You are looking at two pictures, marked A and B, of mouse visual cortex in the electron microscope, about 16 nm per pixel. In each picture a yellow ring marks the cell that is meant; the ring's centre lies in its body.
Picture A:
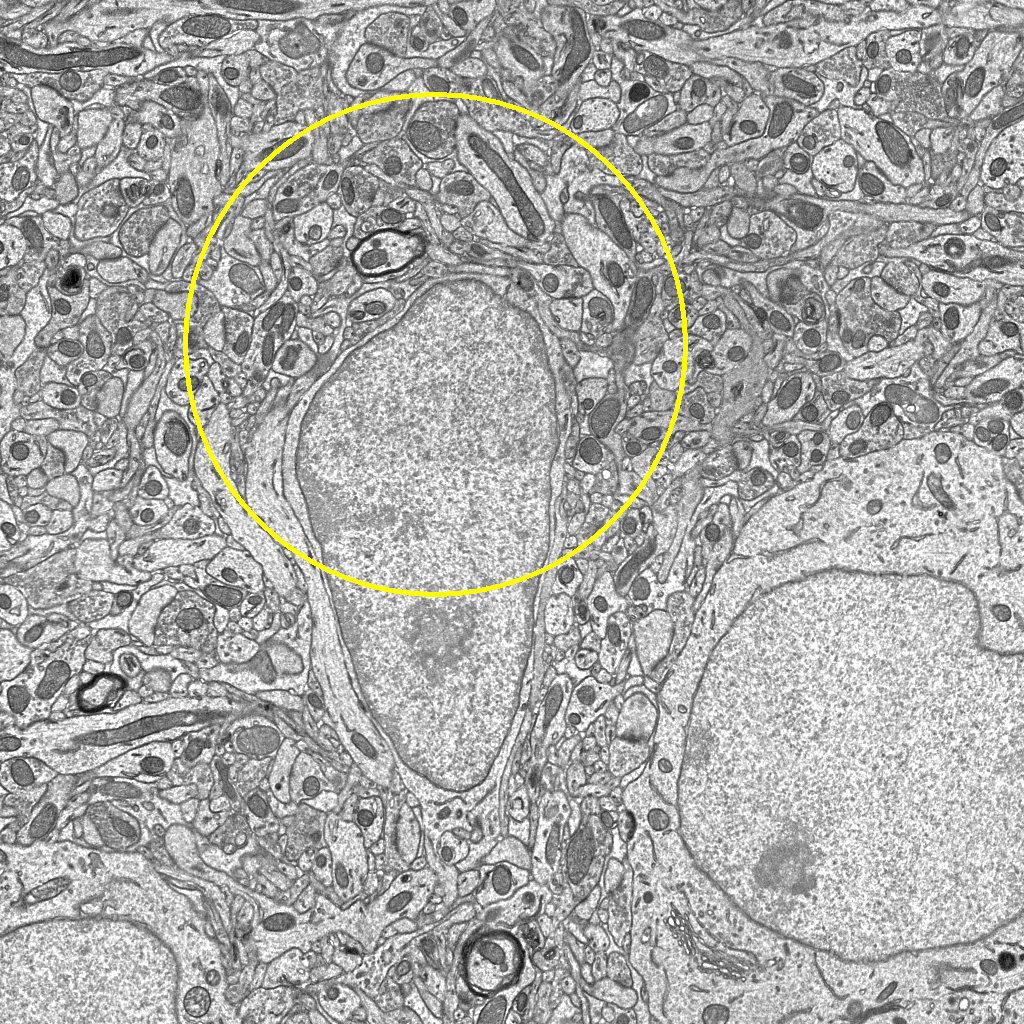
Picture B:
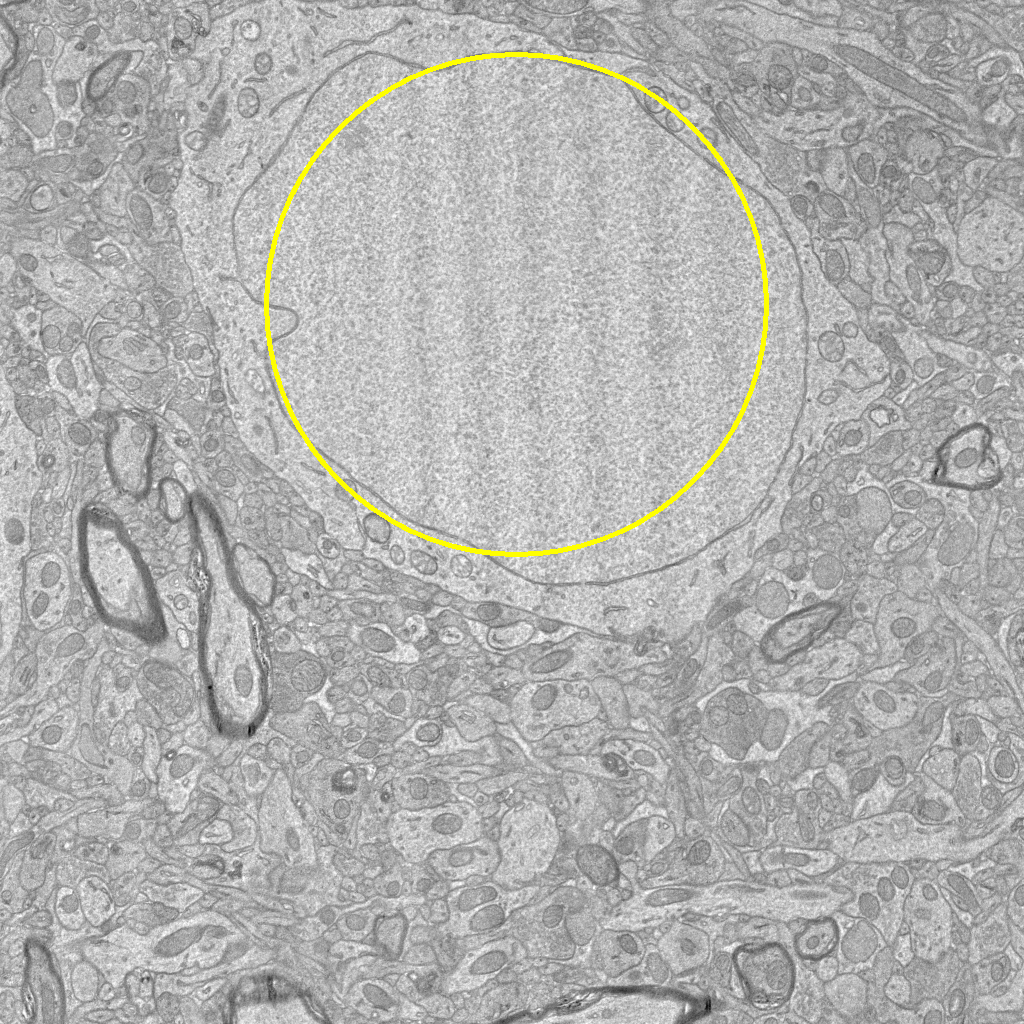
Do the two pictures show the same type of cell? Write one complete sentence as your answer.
No; the cell in picture A is an oligodendrocyte precursor cell, while the one in picture B is an excitatory neuron.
